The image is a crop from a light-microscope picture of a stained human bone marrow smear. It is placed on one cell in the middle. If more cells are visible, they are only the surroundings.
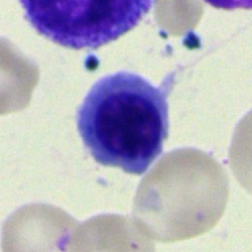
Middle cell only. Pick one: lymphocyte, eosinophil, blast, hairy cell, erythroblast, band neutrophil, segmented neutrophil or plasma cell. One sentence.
This particular crop is centered on an erythroblast.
